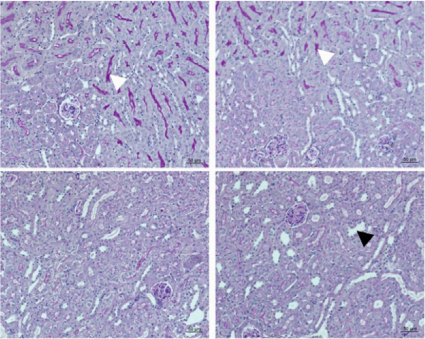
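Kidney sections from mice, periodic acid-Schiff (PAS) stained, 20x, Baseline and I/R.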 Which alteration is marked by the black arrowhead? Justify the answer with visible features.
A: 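The black arrowhead in the lower right image points at a tubule with a wide, open, pale lumen. The lower images show many tubules with enlarged clear lumens and little magenta lining.
Conclusion: dilated tubule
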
